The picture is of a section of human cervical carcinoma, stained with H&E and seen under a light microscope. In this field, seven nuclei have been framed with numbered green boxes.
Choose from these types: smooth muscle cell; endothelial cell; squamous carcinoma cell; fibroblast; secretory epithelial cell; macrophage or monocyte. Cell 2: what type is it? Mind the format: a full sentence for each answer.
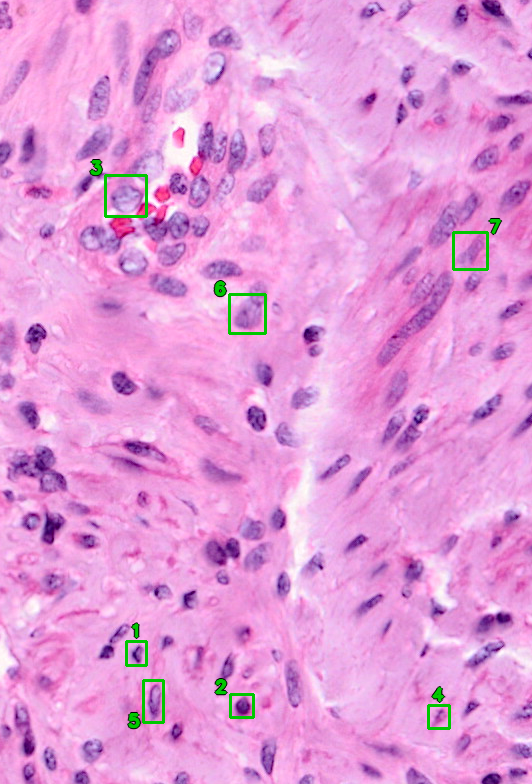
Marked with the number 2, this cell is a smooth muscle cell.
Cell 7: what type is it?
The cell identified by the number 7 is a smooth muscle cell.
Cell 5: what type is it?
Cell 5 is classified as a smooth muscle cell.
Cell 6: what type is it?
The cell identified by the number 6 is a fibroblast.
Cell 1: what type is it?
The cell numbered 1 has been identified as a fibroblast.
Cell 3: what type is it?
The cell that bears the number 3 is an endothelial cell.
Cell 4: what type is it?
The correct answer for cell 4 is a smooth muscle cell.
